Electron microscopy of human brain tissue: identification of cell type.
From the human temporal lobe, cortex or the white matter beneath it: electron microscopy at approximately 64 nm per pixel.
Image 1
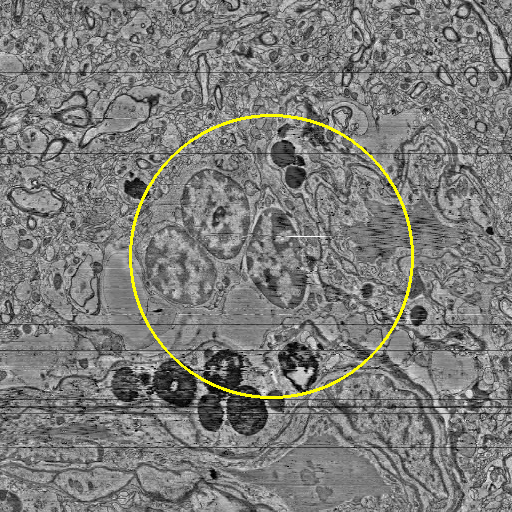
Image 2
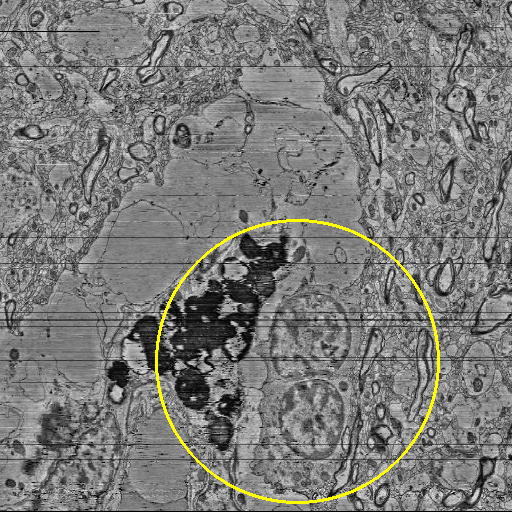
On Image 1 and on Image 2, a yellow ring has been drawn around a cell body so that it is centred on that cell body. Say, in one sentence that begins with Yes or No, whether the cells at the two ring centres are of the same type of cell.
No, the two cells are two separate types of cell.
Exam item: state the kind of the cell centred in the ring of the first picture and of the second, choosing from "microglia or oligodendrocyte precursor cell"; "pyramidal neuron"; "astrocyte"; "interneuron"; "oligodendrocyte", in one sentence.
The first picture shows a microglial cell or oligodendrocyte precursor cell at the ring centre and the second shows an oligodendrocyte.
